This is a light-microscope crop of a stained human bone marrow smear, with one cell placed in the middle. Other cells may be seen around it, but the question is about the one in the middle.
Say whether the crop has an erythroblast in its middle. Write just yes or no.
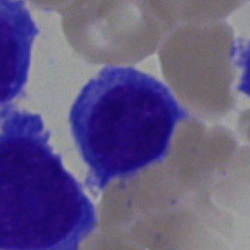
no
